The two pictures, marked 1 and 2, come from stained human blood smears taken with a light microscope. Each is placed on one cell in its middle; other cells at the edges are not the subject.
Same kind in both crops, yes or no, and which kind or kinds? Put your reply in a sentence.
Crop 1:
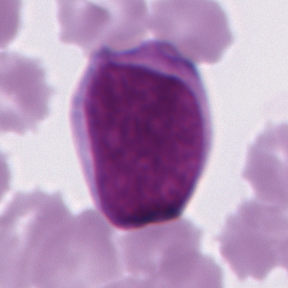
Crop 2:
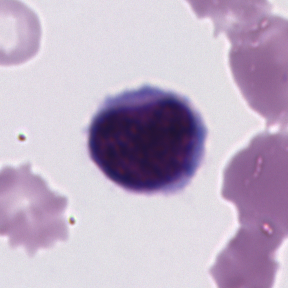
No, a myeloblast is what occupies crop 1, and a hairy cell is what occupies crop 2.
